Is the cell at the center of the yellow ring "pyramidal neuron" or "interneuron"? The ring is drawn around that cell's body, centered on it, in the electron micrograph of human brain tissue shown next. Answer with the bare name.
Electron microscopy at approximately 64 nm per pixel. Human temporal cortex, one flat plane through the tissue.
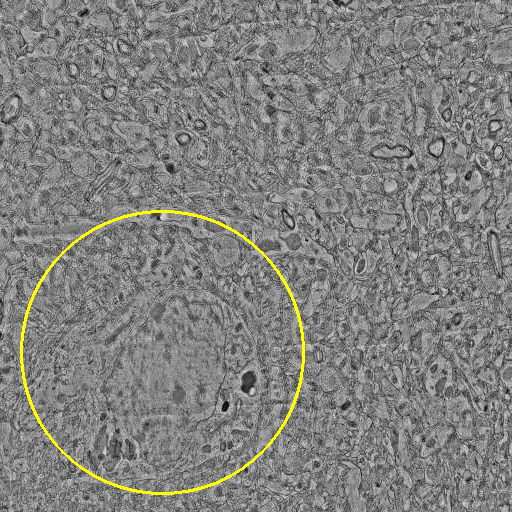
interneuron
